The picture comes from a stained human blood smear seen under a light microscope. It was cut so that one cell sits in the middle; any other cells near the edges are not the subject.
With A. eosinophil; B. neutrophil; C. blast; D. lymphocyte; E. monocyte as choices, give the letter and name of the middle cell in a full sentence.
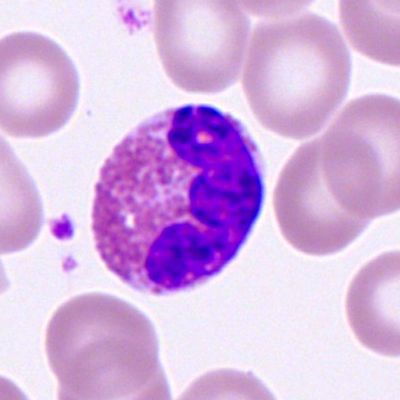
In this crop the central cell is an eosinophil, which option A correctly states.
